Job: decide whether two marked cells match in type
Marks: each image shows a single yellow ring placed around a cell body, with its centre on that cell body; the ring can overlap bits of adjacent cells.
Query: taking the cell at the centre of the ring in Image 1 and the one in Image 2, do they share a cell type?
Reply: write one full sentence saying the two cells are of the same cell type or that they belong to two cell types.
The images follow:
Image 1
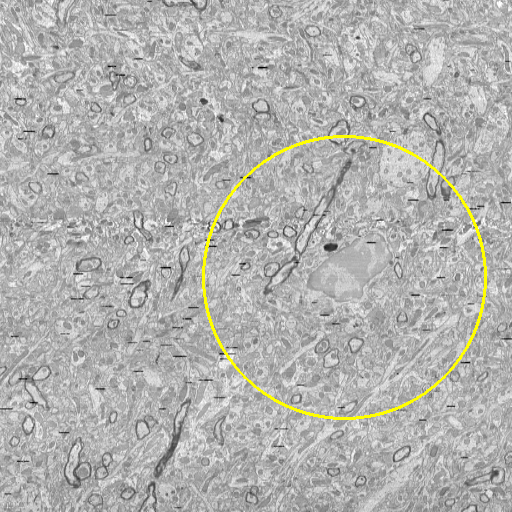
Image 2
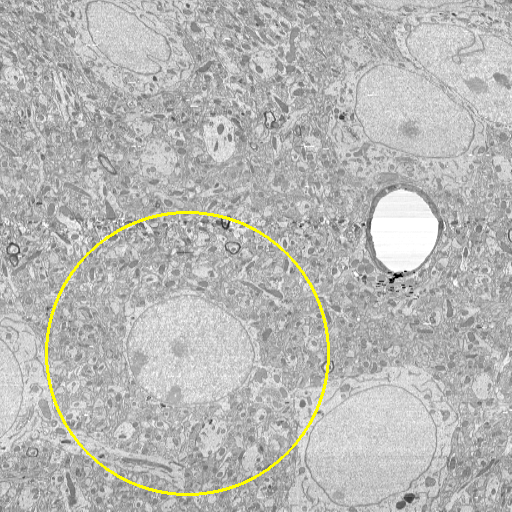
The cells at the ring centres in Image 1 and Image 2 belong to two cell types.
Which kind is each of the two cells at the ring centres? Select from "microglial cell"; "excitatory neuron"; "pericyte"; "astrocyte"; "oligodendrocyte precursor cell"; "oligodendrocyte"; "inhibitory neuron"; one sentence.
The cell at the centre of the ring is a microglial cell in the first picture and an astrocyte in the second.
